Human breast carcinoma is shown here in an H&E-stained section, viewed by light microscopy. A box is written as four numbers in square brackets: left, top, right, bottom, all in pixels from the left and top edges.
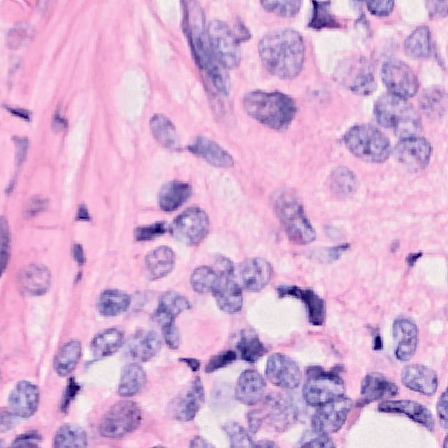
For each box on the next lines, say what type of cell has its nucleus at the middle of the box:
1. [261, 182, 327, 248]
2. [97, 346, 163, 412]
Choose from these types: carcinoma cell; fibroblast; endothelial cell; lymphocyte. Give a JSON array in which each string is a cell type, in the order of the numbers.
["endothelial cell", "carcinoma cell"]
